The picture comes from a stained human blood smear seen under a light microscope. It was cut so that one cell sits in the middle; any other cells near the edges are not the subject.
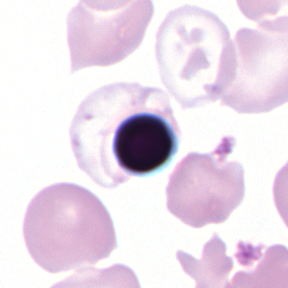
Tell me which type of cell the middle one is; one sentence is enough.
The crop shows a normoblast in its centre.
